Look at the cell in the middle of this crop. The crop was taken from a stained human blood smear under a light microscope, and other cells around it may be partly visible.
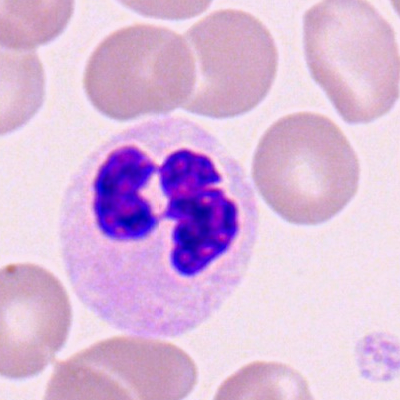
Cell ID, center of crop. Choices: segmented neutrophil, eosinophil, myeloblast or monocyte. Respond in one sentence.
The cell positioned in the middle of the field is a segmented neutrophil.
